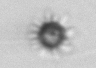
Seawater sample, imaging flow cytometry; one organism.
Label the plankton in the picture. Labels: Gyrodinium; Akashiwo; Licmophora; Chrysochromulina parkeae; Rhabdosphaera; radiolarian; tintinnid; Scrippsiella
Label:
Rhabdosphaera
